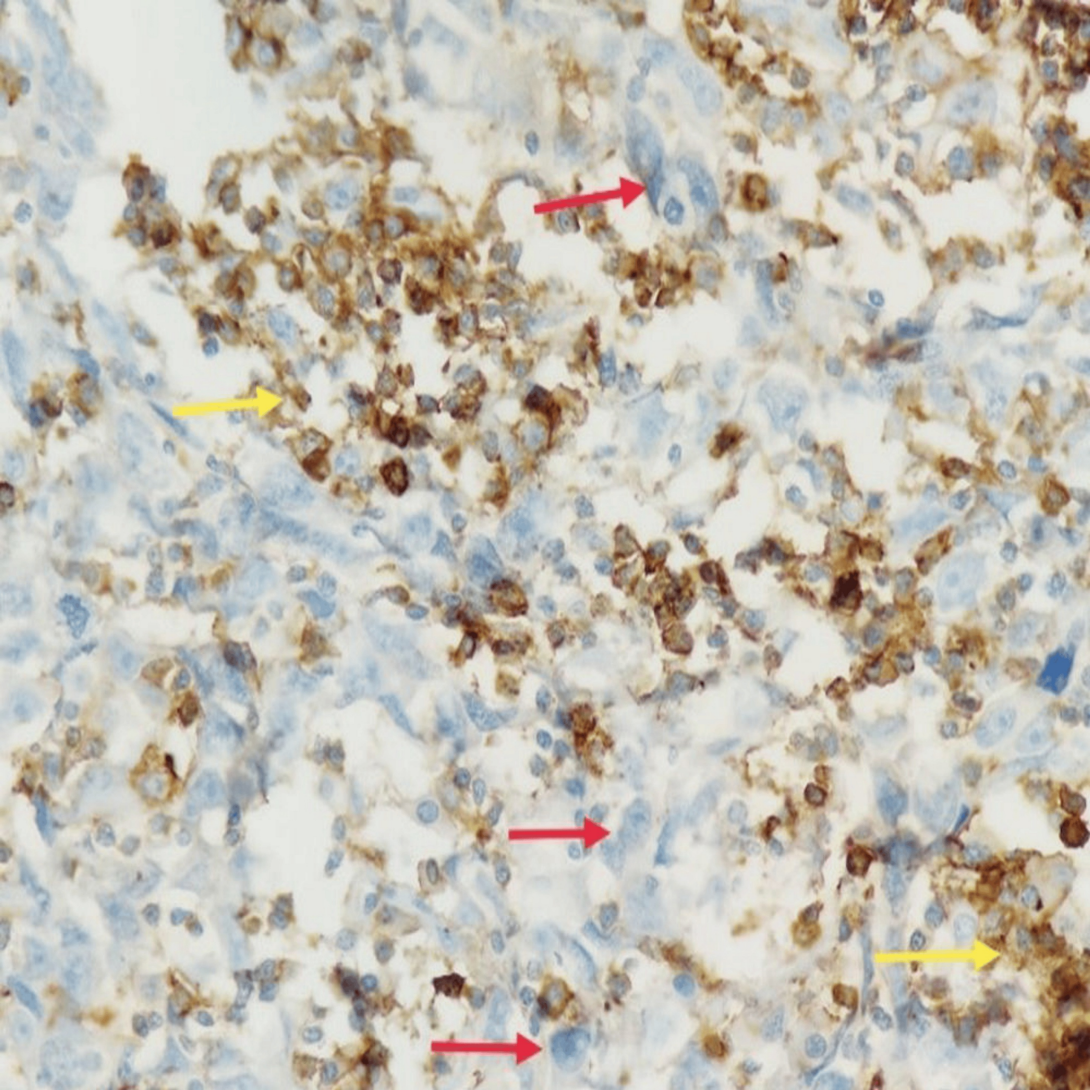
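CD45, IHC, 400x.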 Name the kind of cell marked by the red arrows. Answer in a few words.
Tumor cells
